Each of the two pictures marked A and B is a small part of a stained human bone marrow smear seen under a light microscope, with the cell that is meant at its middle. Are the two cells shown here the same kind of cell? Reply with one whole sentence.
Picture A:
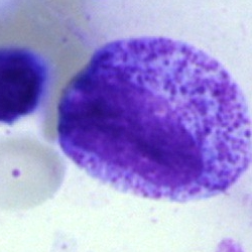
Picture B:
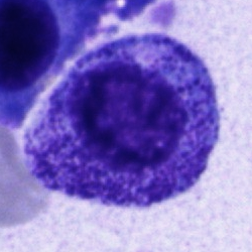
Yes, both are promyelocytes.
